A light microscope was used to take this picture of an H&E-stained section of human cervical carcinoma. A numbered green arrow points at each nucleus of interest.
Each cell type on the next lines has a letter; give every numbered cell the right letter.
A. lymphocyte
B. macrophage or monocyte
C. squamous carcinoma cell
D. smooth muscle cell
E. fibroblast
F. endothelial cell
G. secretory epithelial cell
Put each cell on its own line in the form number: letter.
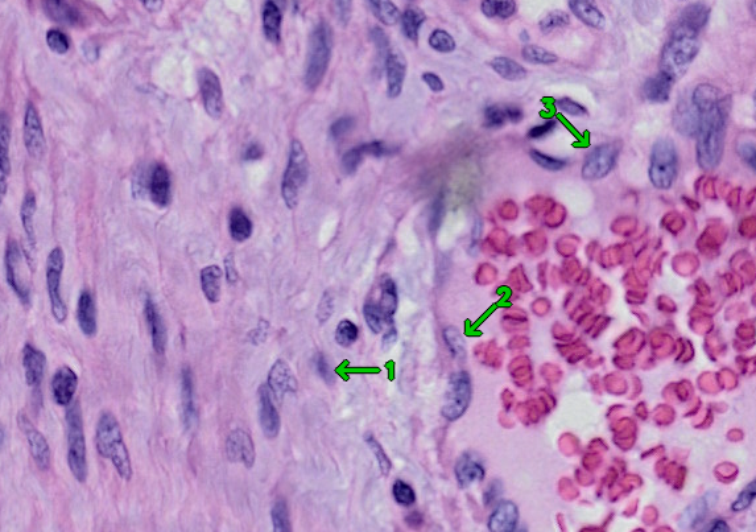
1: E
2: F
3: F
